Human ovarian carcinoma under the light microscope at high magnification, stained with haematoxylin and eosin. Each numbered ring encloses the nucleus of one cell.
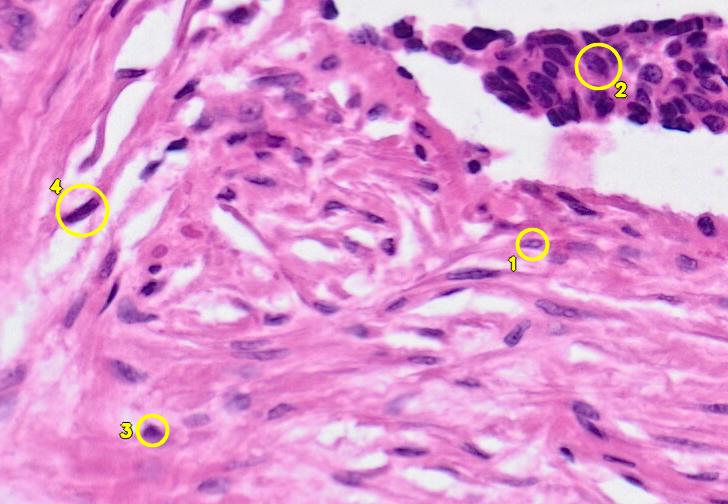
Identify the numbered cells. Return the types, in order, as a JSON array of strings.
["fibroblast", "carcinoma cell", "fibroblast", "fibroblast"]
